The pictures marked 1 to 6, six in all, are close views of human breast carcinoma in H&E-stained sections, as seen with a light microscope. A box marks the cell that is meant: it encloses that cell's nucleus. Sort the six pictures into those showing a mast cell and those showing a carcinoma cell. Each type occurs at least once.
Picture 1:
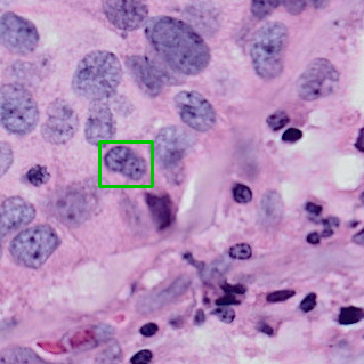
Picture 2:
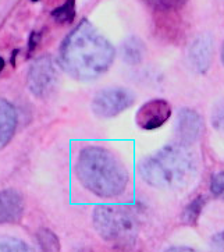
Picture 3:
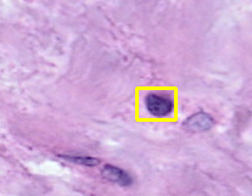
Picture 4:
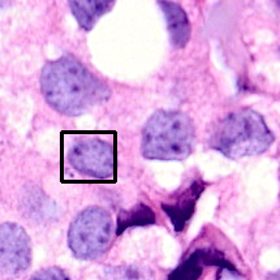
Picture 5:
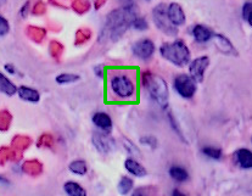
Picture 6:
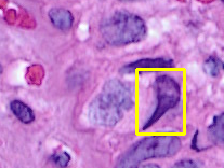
1: carcinoma cell
2: carcinoma cell
3: mast cell
4: carcinoma cell
5: mast cell
6: carcinoma cell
